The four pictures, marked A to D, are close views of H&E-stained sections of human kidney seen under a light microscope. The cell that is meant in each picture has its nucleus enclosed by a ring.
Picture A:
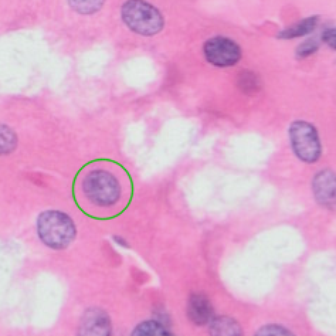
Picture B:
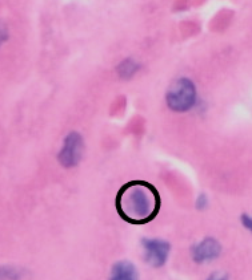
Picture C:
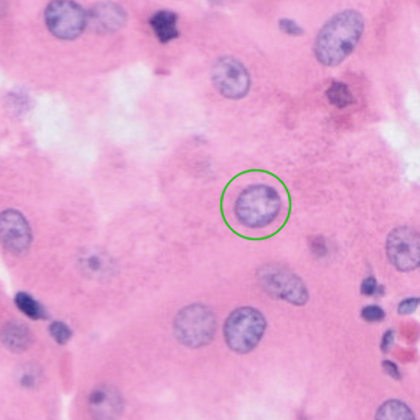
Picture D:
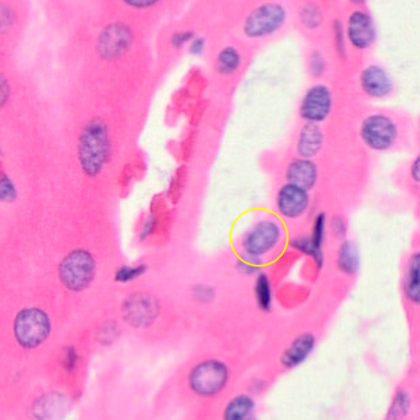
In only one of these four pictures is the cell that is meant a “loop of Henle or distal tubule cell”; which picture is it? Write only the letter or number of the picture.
B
